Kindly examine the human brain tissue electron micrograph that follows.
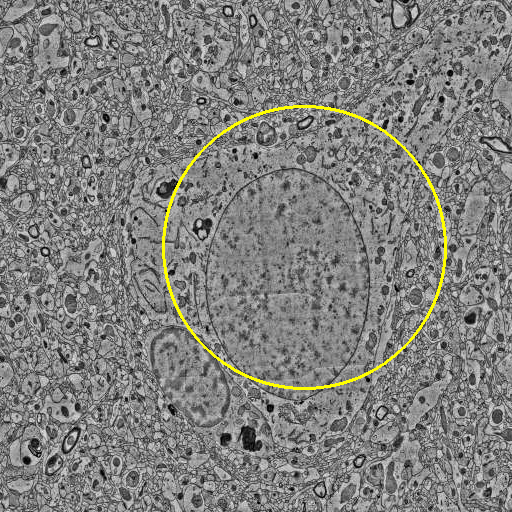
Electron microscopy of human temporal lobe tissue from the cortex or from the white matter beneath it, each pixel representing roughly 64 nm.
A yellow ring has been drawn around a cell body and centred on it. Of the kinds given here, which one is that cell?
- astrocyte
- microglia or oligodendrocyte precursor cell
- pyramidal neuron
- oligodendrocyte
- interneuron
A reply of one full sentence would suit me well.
The micrograph's ringed cell, the one at the ring's centre, is a pyramidal neuron.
